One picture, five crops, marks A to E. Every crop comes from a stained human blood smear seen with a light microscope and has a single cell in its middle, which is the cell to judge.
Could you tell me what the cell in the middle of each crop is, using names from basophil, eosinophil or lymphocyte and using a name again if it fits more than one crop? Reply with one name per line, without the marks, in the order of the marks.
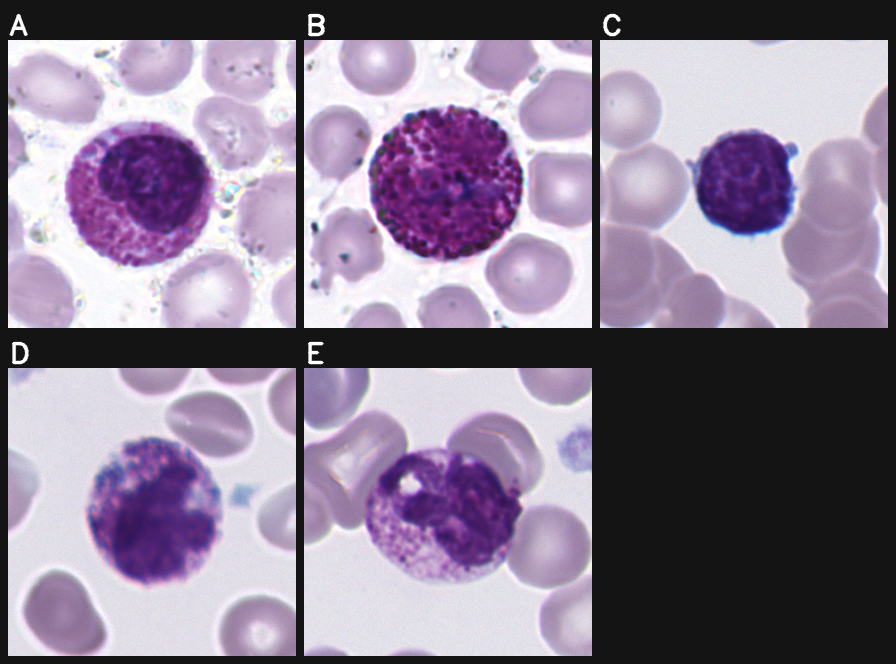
eosinophil
basophil
lymphocyte
basophil
basophil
